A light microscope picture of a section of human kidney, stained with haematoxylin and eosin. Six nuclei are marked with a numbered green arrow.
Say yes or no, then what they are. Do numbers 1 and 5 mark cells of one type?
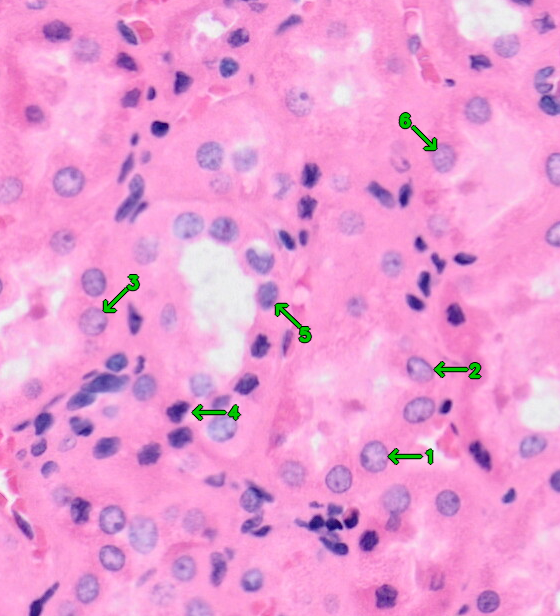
No, cell 1 is categorized as a proximal tubule cell, while cell 5 is categorized as a loop of Henle or distal tubule cell.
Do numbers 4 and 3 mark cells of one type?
No, cell 4 should be called a loop of Henle or distal tubule cell, and cell 3 should be called a proximal tubule cell.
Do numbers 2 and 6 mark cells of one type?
Yes, cells 2 and 6 have the same identity; both are proximal tubule cells.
